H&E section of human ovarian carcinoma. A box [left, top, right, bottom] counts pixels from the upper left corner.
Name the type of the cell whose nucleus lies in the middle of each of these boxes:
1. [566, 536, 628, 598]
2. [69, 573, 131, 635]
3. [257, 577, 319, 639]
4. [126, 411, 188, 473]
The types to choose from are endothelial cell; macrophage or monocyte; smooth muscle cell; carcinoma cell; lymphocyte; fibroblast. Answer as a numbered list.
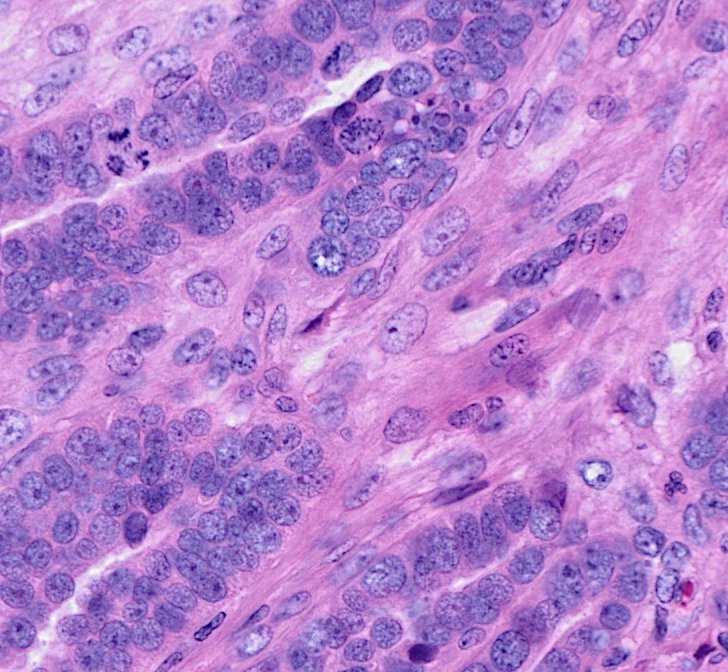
1. carcinoma cell
2. carcinoma cell
3. fibroblast
4. carcinoma cell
